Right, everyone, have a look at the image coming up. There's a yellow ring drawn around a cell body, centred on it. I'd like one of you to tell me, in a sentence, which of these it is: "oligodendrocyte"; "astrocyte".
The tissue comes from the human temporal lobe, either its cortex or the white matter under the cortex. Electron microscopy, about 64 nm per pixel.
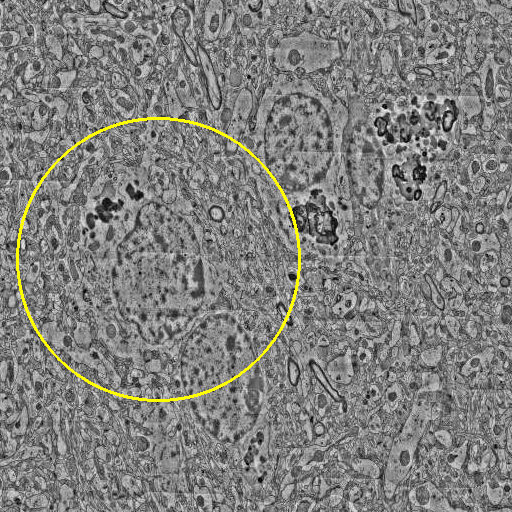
The yellow ring sits on an astrocyte.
